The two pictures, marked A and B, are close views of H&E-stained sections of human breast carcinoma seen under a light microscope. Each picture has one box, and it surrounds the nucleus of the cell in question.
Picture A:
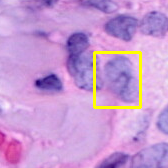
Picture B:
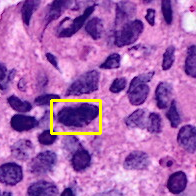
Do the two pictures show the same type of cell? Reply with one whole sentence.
Yes; the cells in both pictures are carcinoma cells.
